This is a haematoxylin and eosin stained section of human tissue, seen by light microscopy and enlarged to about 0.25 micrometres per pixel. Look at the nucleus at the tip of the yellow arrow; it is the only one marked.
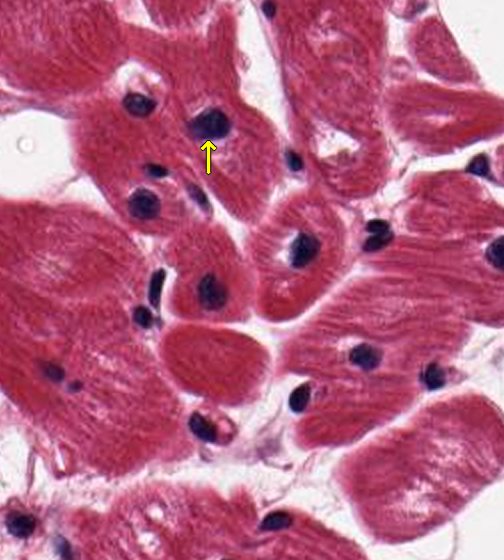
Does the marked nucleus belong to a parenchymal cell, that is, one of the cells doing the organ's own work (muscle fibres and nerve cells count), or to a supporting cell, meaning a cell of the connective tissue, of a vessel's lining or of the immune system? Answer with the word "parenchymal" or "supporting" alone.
parenchymal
